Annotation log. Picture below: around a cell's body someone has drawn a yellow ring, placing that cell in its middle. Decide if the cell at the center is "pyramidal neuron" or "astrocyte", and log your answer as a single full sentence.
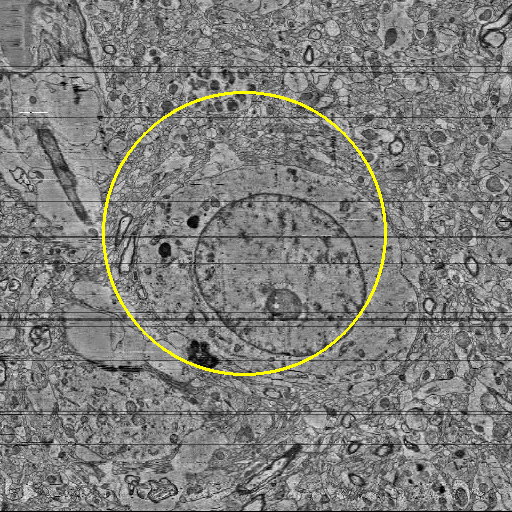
My entry records a pyramidal neuron as the cell sitting at the center of the yellow ring.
